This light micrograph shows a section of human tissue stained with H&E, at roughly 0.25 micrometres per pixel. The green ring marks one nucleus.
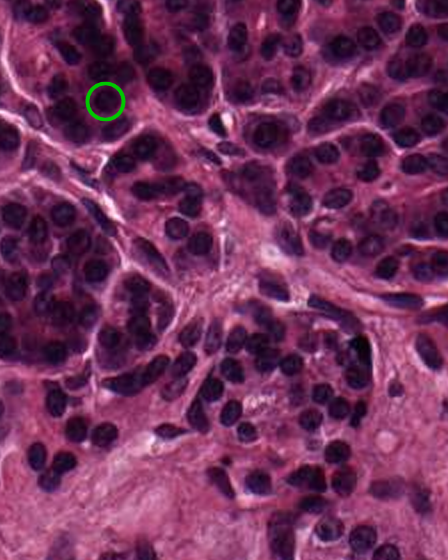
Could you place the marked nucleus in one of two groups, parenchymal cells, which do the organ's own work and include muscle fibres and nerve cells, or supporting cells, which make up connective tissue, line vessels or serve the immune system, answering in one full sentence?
Here the marked nucleus belongs to a parenchymal cell, that is, a pancreatic acinar cell.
